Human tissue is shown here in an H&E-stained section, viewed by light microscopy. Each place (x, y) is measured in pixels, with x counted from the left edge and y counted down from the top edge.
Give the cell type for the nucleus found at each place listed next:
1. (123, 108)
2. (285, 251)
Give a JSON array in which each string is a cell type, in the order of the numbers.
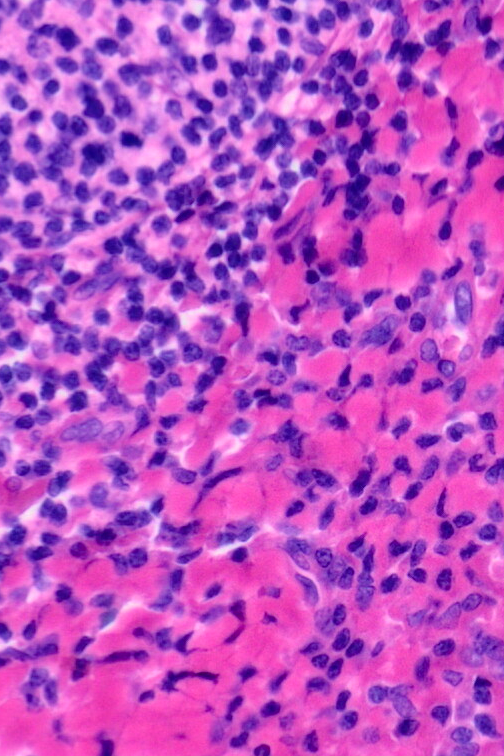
["proliferating B cell", "endothelial cell"]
